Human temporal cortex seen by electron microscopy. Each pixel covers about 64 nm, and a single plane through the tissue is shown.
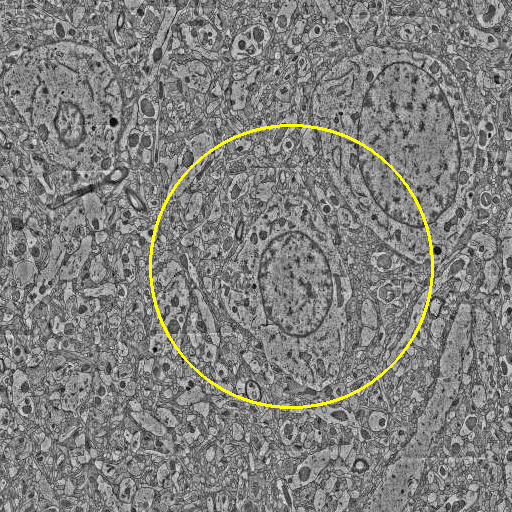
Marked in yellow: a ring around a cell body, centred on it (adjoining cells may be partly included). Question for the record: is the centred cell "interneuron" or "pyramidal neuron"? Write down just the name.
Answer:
pyramidal neuron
